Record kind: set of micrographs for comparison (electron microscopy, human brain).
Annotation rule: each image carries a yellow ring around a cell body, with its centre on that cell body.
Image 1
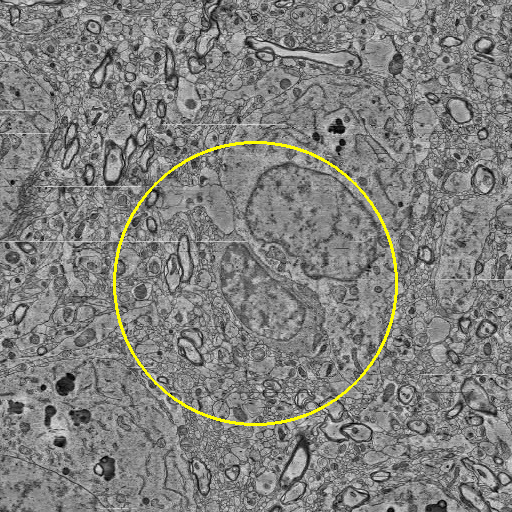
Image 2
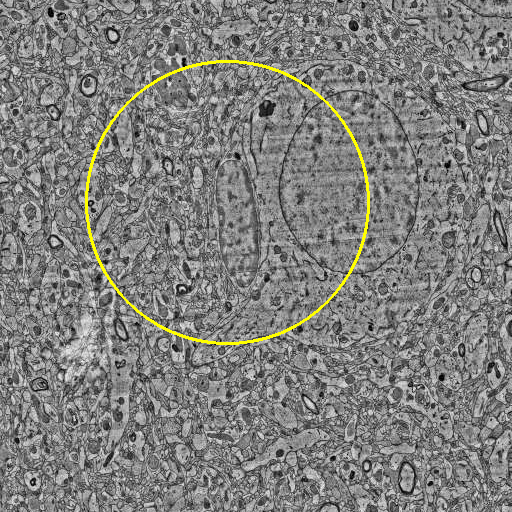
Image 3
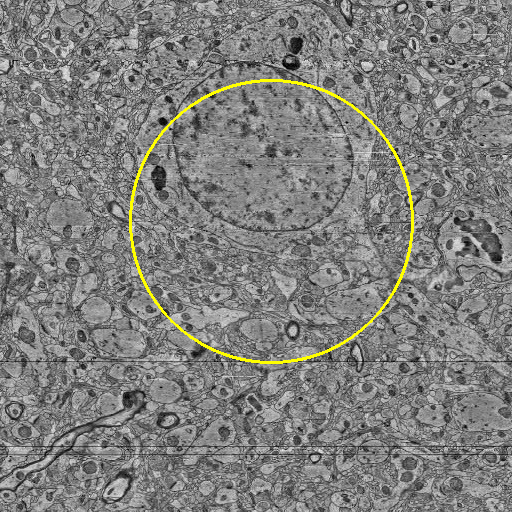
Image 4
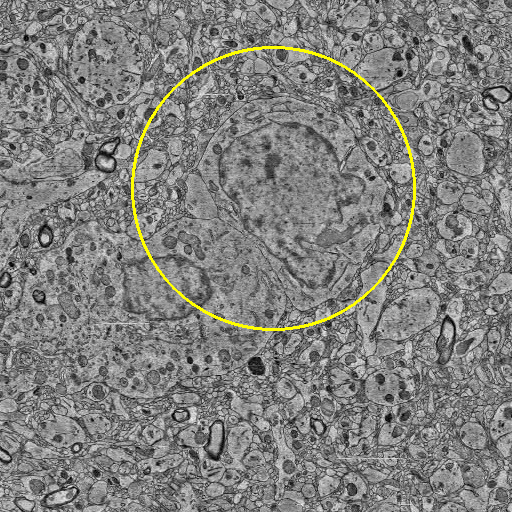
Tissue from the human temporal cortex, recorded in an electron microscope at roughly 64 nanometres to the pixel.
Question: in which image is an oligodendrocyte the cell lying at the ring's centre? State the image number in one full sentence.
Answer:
In image 1, the ring is centred on the cell in question.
